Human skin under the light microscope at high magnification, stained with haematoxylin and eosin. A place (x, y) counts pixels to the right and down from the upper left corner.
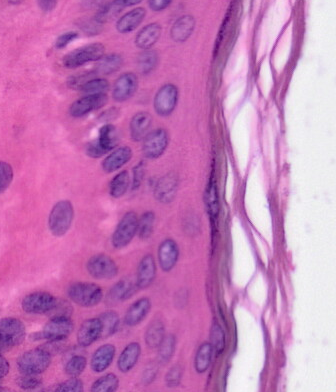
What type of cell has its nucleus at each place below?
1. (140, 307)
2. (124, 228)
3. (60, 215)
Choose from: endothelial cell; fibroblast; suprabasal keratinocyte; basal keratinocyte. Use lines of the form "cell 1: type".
cell 1: suprabasal keratinocyte
cell 2: basal keratinocyte
cell 3: fibroblast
